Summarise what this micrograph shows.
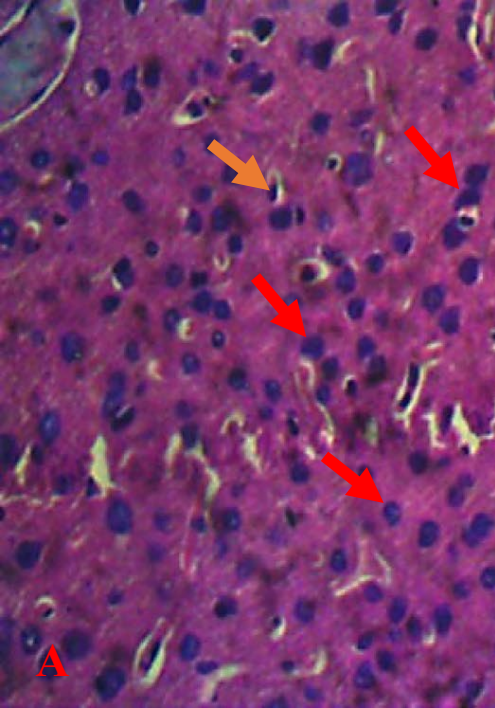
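Brain tissue with many neurons and scattered small glial cells in pink neuropil. Most nuclei are round to oval, evenly purple-blue, and sit closely in the pink matrix. A few cells lie in small clear spaces. The cells are evenly spread without marked shrinkage or vacuolation in most of the field.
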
